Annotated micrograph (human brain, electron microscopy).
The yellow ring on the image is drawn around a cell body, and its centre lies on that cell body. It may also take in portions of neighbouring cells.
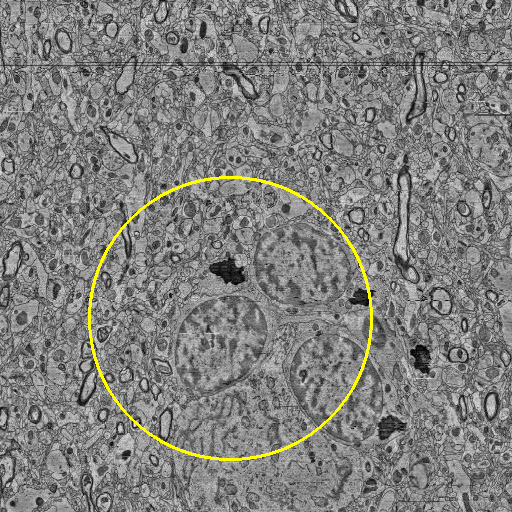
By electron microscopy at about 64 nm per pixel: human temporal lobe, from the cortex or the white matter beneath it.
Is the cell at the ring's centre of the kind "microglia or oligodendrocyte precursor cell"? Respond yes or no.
No, it is of another kind.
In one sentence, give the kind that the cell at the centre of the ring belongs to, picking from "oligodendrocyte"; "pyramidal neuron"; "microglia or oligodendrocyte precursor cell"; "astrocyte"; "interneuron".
The ringed cell in this picture is, instead, an oligodendrocyte.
